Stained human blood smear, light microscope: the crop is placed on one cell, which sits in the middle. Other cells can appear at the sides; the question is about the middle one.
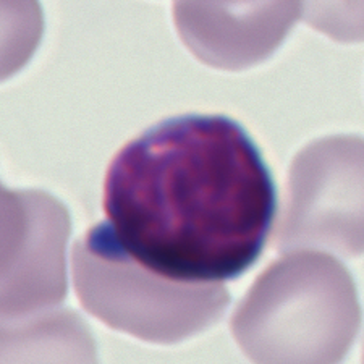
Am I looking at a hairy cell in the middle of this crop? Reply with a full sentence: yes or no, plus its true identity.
No, the middle one is a typical lymphocyte rather than a hairy cell.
